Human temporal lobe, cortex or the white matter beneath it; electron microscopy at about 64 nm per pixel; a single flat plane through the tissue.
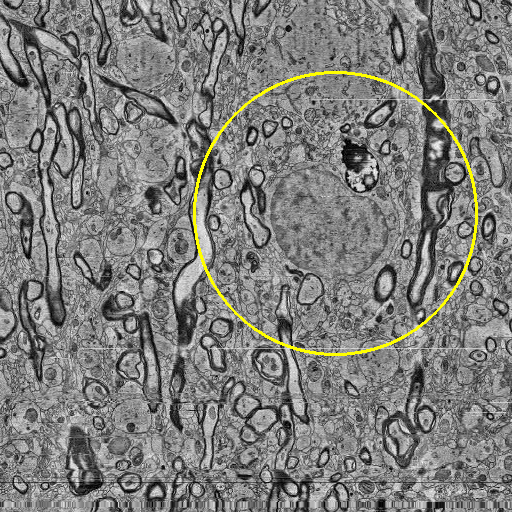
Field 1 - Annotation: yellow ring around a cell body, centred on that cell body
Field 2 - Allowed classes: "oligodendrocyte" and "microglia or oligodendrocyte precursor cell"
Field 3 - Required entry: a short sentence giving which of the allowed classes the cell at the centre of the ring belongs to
The centred cell is an oligodendrocyte.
